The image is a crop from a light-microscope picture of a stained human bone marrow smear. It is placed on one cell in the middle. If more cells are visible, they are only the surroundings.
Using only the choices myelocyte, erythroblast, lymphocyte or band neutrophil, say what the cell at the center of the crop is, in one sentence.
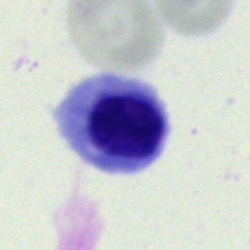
The centrally placed cell is classified as an erythroblast.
